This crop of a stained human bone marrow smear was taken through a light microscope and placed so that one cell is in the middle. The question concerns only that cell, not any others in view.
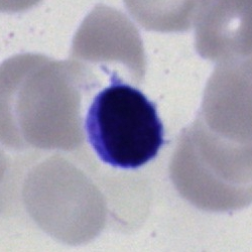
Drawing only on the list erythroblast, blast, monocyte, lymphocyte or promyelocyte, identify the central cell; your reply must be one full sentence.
The cell sitting right in the middle is a lymphocyte.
